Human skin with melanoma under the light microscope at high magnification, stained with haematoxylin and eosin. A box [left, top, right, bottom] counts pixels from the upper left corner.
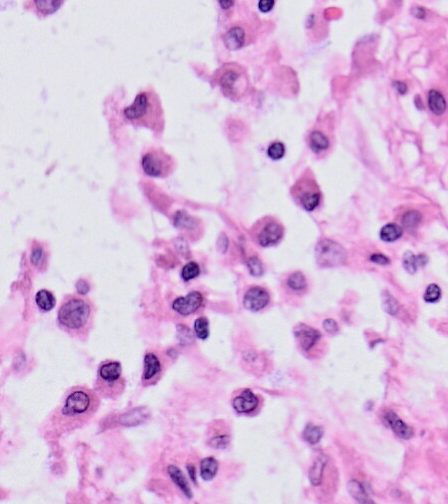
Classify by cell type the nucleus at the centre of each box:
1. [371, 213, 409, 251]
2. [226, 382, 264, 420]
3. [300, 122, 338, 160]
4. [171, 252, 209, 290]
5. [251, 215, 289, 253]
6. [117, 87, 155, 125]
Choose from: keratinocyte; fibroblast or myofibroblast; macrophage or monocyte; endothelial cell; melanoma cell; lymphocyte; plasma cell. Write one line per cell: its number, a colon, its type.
1: lymphocyte
2: macrophage or monocyte
3: macrophage or monocyte
4: lymphocyte
5: macrophage or monocyte
6: macrophage or monocyte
